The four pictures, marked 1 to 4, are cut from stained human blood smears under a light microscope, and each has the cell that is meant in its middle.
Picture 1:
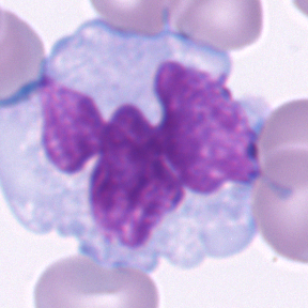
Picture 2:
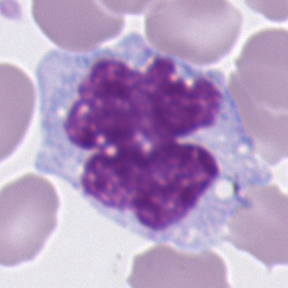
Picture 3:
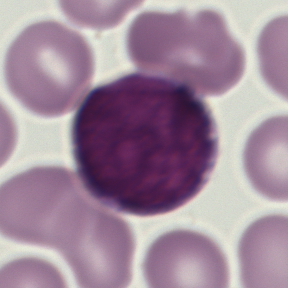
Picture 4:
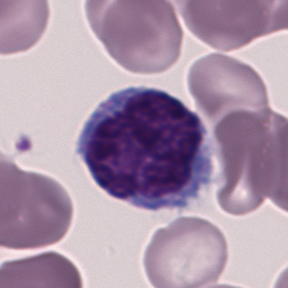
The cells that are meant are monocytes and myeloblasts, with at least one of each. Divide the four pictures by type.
1: monocyte
2: monocyte
3: myeloblast
4: monocyte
